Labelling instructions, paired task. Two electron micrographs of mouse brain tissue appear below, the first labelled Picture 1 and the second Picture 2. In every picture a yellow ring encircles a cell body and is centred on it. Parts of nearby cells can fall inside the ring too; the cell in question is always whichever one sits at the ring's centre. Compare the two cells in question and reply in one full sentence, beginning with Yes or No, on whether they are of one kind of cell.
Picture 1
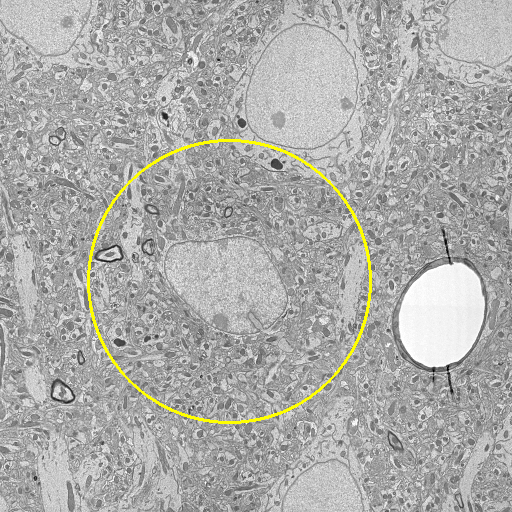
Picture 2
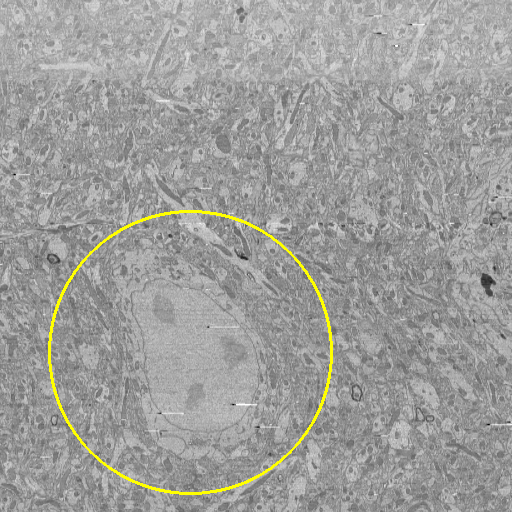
No, the two cells at the ring centres in Picture 1 and Picture 2 are of two kinds.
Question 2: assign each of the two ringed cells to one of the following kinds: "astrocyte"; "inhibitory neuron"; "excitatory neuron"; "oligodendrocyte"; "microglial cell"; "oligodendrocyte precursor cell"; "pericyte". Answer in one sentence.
The two cells are an astrocyte in the first picture and an excitatory neuron in the second.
